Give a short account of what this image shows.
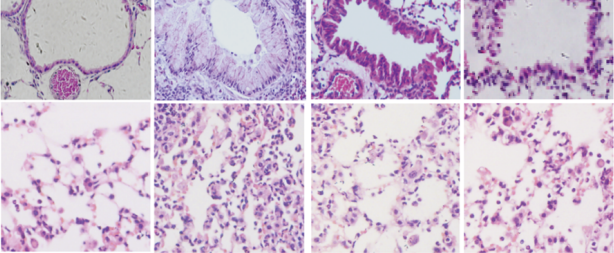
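In some airway images the wall is thin with little surrounding tissue, while in others the epithelium is taller and the wall is surrounded by dense collections of small, dark-nucleated cells. In the lower row the alveoli appear as open air spaces separated by pink septa. In some images these septa are thin and sparsely nucleated. In others the septa are thickened and crowded with many nuclei, so that the air spaces are narrowed.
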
